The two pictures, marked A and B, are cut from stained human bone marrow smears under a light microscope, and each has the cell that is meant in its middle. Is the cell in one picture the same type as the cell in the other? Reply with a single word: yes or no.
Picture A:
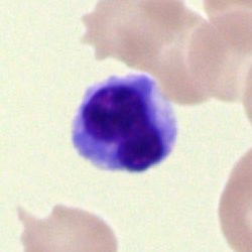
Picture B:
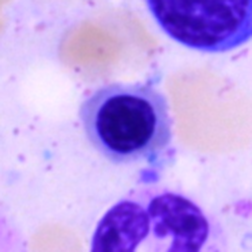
yes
